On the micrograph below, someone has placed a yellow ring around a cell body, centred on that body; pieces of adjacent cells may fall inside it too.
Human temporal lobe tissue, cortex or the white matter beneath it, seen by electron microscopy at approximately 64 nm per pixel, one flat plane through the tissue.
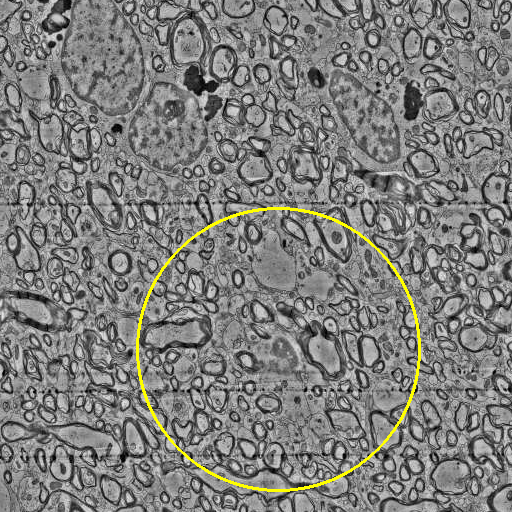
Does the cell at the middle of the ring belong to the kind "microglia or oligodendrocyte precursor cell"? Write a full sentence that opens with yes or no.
Yes, the cell lying at the ring's centre on the micrograph is that kind.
